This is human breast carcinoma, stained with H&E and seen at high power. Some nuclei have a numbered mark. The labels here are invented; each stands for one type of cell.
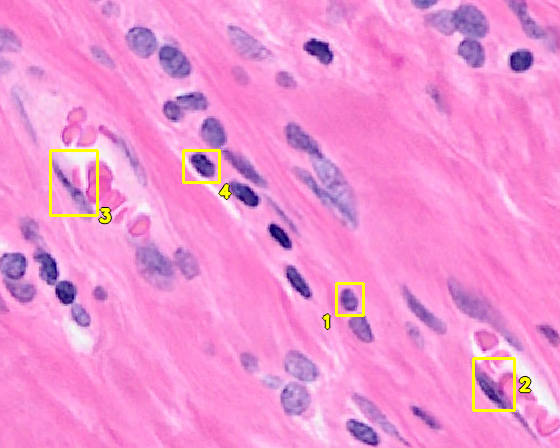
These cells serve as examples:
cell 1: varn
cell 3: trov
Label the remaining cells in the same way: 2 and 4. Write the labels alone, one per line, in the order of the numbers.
trov
varn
